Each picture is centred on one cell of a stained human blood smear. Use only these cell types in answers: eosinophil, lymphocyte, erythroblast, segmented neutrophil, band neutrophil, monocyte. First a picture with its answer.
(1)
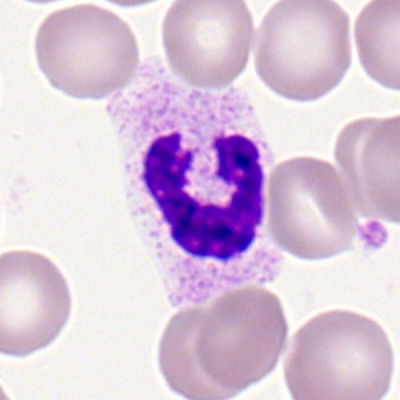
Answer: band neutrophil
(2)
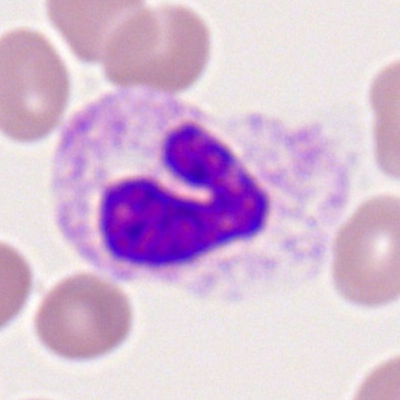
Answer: band neutrophil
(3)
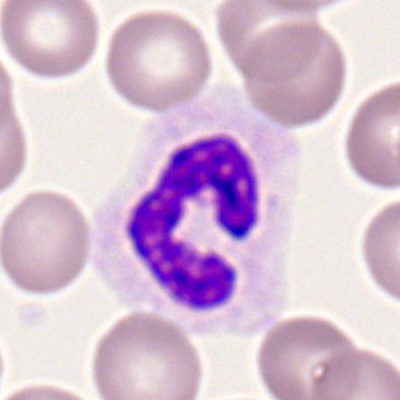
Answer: band neutrophil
